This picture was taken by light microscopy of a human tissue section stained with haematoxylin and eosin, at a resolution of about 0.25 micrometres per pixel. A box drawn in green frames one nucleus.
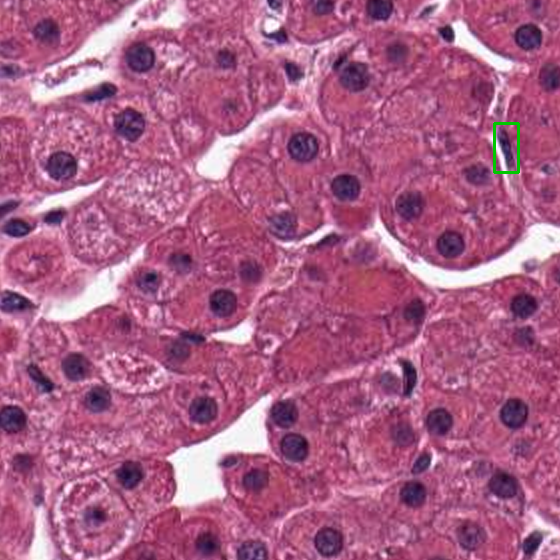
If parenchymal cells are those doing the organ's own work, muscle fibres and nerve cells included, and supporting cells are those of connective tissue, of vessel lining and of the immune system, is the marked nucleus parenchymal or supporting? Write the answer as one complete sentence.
Among the cells in view, a supporting cell holds the marked nucleus.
